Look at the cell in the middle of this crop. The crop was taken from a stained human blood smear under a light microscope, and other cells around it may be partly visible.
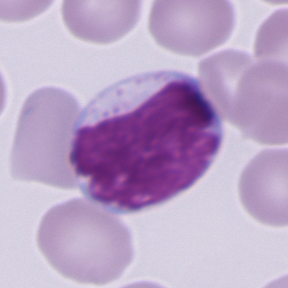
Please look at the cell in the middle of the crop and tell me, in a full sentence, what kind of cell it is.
The cell the crop is centered on is a large granular lymphocyte.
